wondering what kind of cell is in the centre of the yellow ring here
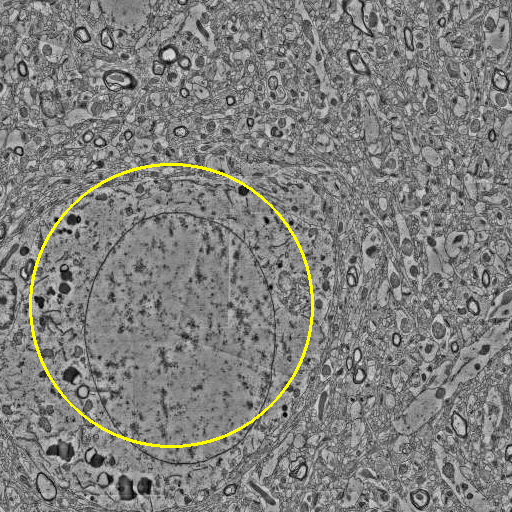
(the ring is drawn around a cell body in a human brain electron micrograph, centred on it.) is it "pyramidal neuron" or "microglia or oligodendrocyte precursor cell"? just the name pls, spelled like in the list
pyramidal neuron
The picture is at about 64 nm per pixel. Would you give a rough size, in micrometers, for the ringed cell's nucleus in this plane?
In this plane, roughly 16 by 13 micrometres.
